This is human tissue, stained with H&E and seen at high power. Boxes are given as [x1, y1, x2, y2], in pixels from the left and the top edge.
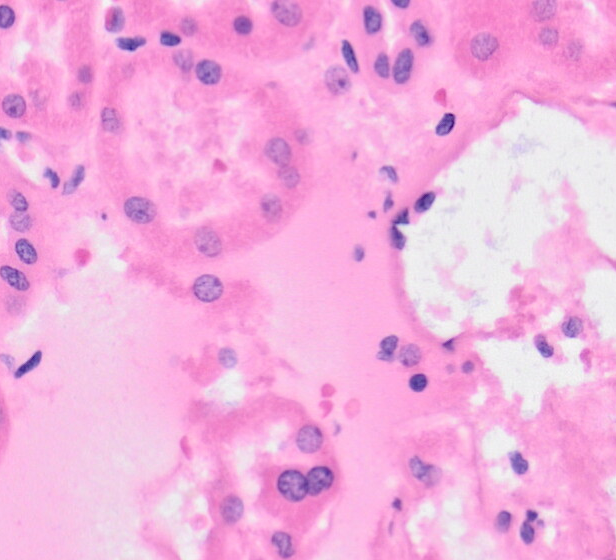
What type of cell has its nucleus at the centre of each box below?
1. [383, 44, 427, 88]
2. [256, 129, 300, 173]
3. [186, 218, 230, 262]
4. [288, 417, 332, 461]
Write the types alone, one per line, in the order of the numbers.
collecting duct cell
proximal tubule cell
proximal tubule cell
proximal tubule cell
